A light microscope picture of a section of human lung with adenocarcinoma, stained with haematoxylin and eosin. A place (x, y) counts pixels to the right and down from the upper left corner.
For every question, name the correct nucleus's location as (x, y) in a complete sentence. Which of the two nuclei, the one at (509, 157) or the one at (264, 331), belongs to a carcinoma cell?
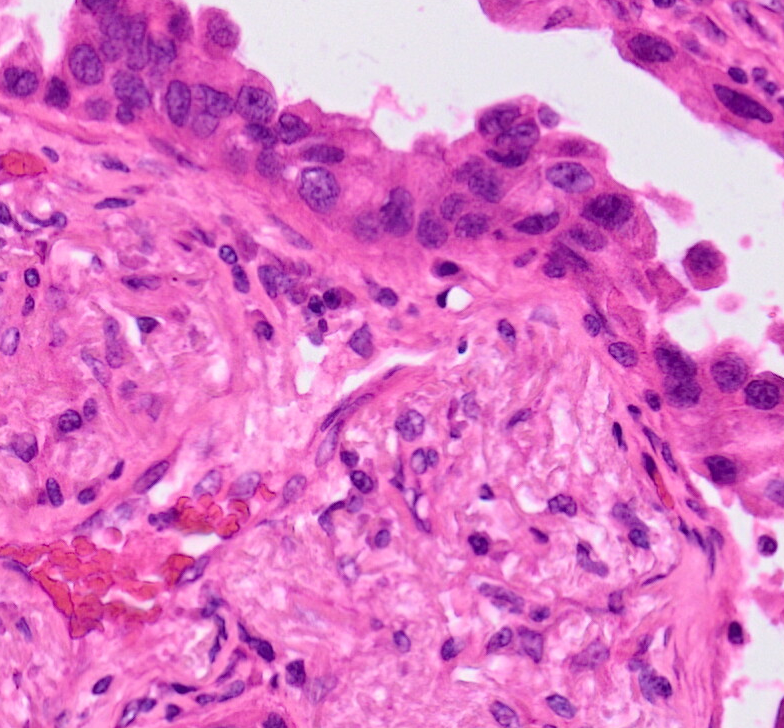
The nucleus at (509, 157), rather than the other, belongs to a carcinoma cell.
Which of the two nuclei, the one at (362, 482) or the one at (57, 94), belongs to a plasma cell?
Of the pair, the nucleus positioned at (362, 482) is that of a plasma cell.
